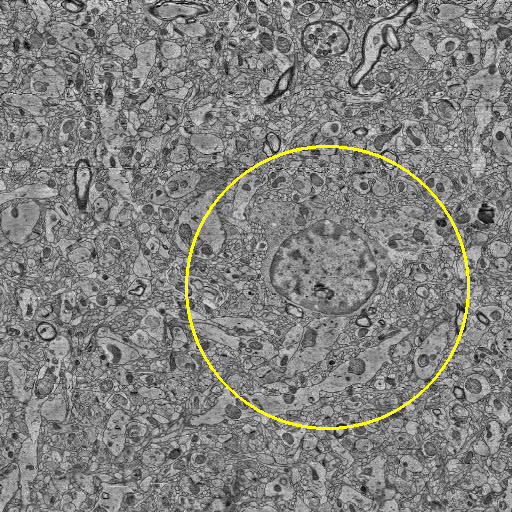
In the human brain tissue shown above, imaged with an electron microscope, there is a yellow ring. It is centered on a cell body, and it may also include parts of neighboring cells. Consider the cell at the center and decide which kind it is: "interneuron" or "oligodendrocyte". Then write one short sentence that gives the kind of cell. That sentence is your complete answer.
This centered cell body is that of an oligodendrocyte.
